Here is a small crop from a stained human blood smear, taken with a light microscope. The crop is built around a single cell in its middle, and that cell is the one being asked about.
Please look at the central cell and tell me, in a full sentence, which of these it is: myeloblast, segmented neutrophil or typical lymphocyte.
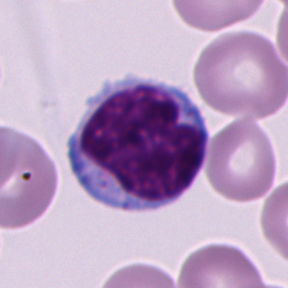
The center cell of this crop is a typical lymphocyte.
